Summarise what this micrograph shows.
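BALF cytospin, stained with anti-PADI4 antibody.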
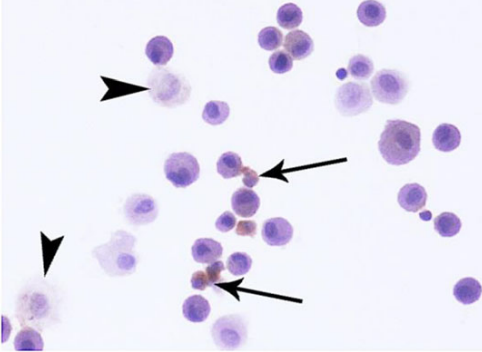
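Most cells are round with a purple nucleus and a thin rim of cytoplasm. A few small cells in a cluster near the centre carry brown-stained cytoplasm. Large cells with abundant pale, faintly stained cytoplasm and a small nucleus lie at the edges of the field.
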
